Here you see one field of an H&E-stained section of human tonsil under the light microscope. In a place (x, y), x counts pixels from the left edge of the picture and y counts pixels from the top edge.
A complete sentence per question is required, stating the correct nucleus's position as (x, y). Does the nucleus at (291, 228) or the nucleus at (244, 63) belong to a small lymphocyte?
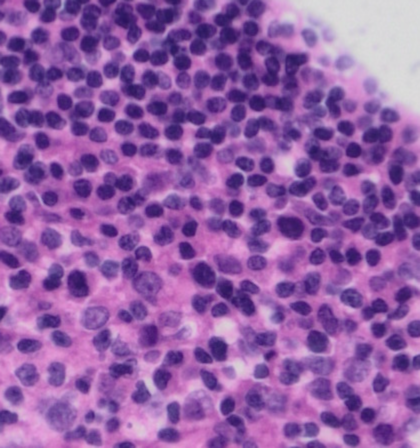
The nucleus at (244, 63) is identified as belonging to a small lymphocyte.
